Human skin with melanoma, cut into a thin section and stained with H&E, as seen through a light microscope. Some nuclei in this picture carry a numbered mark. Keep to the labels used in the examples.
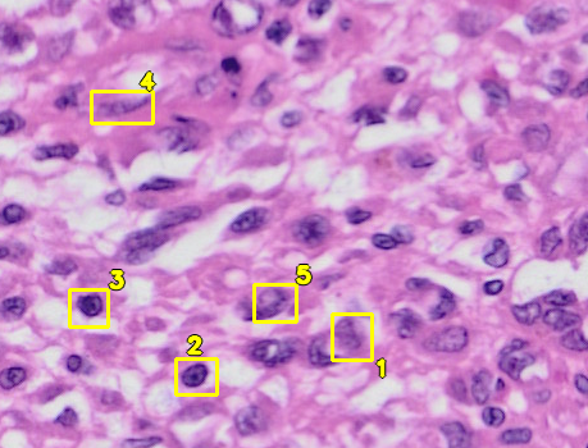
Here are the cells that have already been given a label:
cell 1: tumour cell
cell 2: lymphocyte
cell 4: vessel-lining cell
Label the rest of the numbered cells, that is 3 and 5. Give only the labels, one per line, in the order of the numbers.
lymphocyte
tumour cell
